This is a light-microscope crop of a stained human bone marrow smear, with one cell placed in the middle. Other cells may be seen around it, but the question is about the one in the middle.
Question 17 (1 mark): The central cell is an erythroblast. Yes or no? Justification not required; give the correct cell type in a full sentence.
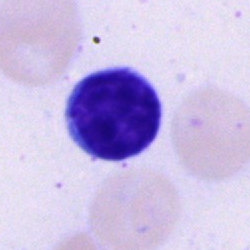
No, the cell in the centre of the crop is a lymphocyte as opposed to an erythroblast.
